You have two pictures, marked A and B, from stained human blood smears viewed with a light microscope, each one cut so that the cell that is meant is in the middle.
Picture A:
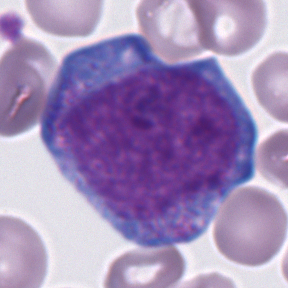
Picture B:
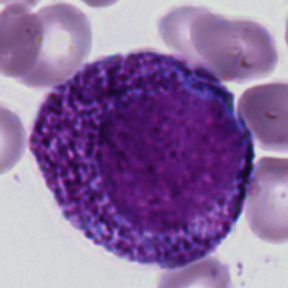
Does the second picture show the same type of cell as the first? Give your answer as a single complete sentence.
Yes; the cells in both pictures are promyelocytes.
